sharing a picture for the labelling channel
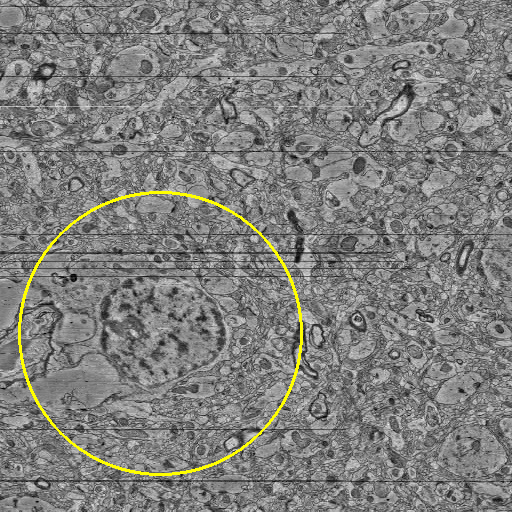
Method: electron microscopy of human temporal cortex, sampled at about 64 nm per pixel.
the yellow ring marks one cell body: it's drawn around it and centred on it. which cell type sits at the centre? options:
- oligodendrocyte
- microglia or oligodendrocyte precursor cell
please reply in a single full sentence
In the picture, the cell at the ring's centre is a microglial cell or oligodendrocyte precursor cell, going by the list.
